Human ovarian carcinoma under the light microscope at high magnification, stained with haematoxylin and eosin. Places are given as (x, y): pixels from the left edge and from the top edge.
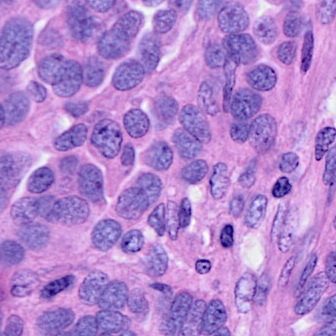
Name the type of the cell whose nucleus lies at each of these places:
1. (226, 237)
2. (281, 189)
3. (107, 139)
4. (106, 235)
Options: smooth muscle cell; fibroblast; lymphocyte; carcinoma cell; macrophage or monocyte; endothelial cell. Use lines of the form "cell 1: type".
cell 1: lymphocyte
cell 2: lymphocyte
cell 3: carcinoma cell
cell 4: carcinoma cell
